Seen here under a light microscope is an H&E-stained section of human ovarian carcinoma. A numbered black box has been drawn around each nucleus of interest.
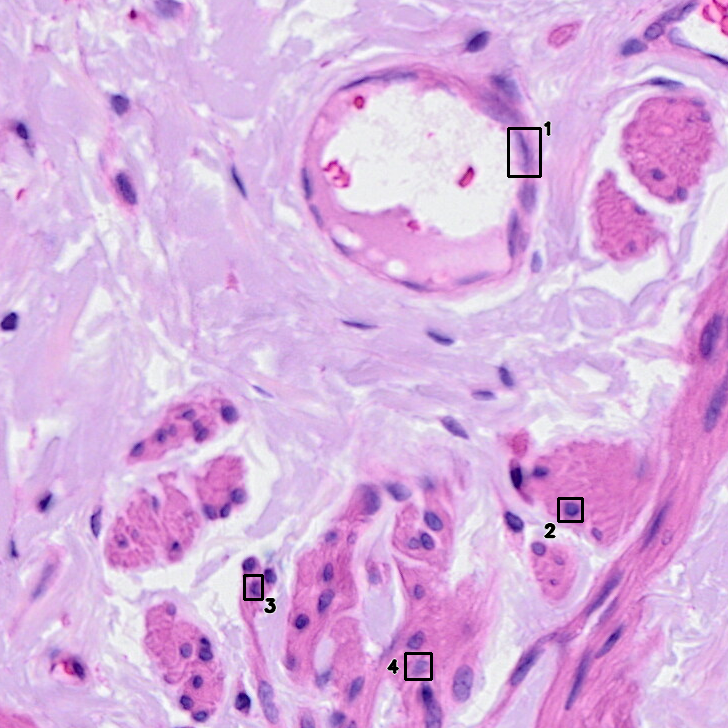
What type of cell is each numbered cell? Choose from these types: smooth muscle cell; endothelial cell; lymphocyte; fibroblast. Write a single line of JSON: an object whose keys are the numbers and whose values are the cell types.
{"1": "endothelial cell", "2": "smooth muscle cell", "3": "smooth muscle cell", "4": "smooth muscle cell"}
